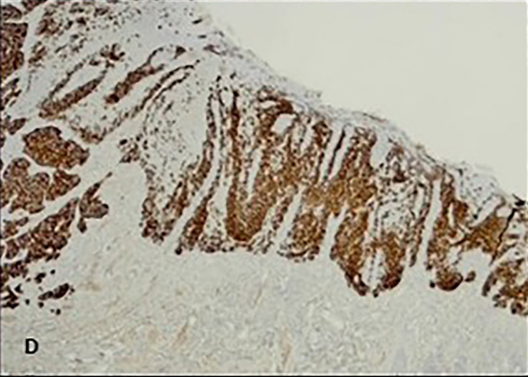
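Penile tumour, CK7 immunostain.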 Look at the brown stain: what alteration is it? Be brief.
Pagetoid spread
